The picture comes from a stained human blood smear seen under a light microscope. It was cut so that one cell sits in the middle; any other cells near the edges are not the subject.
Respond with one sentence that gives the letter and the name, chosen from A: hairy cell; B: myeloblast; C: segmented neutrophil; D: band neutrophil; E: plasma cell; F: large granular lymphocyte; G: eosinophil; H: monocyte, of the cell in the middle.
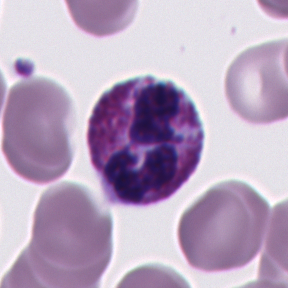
The central cell in this crop is an eosinophil, corresponding to option G, the correct option.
